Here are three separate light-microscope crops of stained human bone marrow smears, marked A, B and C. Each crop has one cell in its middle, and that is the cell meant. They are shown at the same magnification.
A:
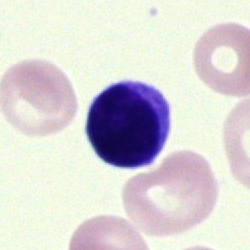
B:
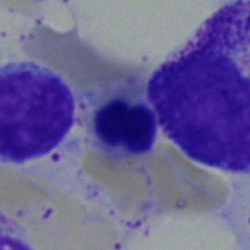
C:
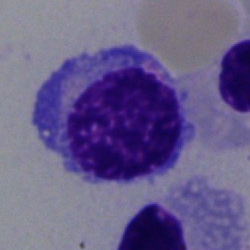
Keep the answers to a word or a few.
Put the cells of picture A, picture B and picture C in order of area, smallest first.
B, A, C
